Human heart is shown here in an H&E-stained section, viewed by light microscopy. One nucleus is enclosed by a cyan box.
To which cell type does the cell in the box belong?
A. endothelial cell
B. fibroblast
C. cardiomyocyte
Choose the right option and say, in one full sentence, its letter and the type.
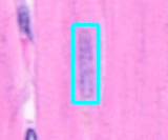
Option C is the right choice, for the cell in the box is a cardiomyocyte.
